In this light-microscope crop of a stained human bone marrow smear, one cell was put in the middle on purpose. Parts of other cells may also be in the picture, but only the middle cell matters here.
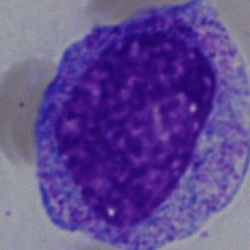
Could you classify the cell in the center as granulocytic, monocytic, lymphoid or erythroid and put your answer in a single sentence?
To the granulocytic lineage belongs the cell in the middle of the crop.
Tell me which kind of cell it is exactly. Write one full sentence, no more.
In the middle of this smear crop is a promyelocyte.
